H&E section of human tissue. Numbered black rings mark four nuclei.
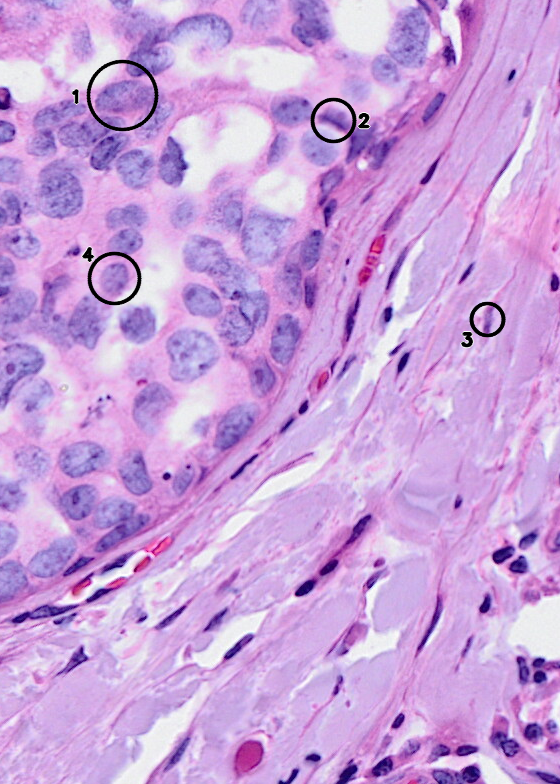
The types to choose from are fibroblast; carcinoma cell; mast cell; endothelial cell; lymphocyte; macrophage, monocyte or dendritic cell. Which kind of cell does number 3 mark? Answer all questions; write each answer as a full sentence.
That cell with number 3 is a fibroblast.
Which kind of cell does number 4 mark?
Here, the cell given the number 4 is a carcinoma cell.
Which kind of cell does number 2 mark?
The cell identified by the number 2 is a carcinoma cell.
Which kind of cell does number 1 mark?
The cell pointed out by number 1 is a carcinoma cell.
